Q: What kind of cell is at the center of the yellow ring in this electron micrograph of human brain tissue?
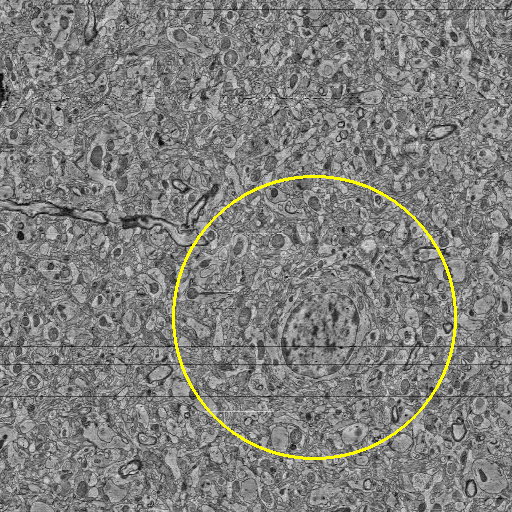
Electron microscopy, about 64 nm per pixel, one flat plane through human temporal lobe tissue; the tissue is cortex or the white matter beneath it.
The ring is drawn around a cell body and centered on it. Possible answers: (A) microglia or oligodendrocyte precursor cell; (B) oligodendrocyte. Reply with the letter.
A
